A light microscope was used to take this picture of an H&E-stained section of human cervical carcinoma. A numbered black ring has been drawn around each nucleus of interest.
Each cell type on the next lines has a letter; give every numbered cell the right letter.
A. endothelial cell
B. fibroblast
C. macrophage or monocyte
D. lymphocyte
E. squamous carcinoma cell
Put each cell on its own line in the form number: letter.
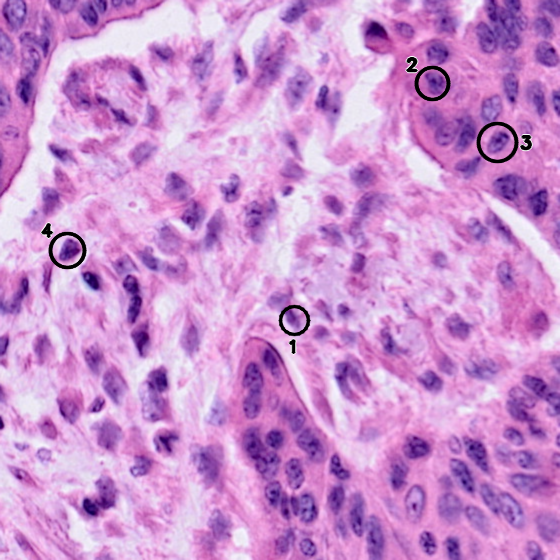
1: B
2: E
3: E
4: D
